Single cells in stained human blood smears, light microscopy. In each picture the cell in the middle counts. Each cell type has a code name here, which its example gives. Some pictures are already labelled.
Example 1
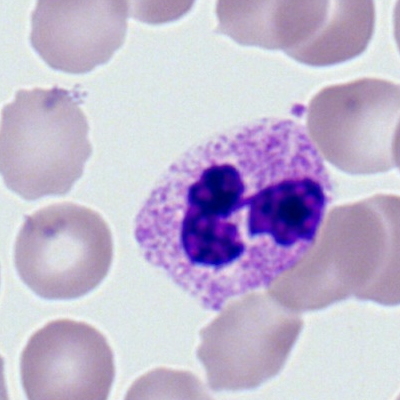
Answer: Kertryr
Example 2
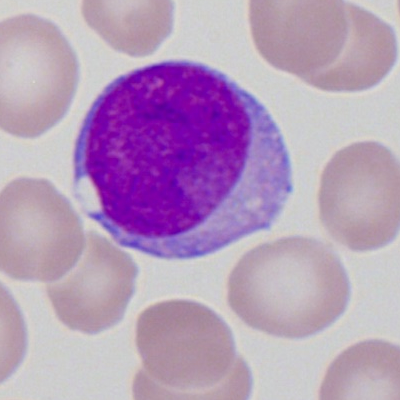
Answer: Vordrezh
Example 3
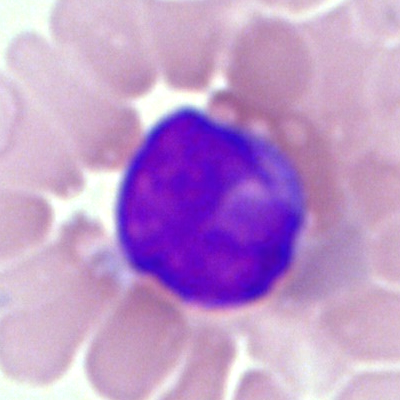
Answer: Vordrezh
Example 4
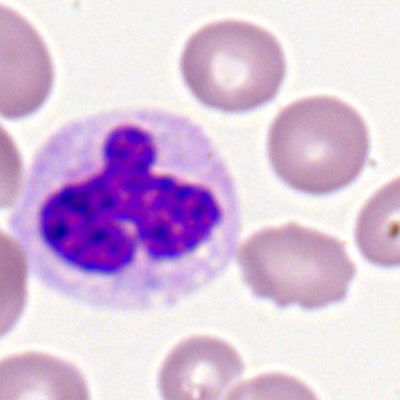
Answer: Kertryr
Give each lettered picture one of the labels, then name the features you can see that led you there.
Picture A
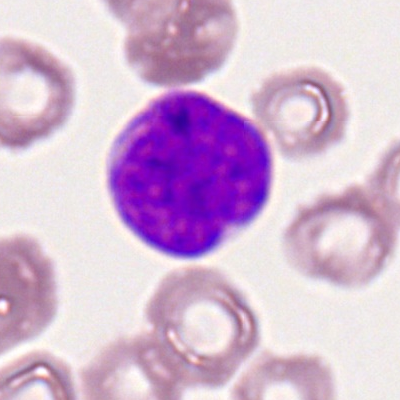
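Vordrezh. Reason: The nucleus fills almost the whole cell, leaving at most a very thin rim of cytoplasm.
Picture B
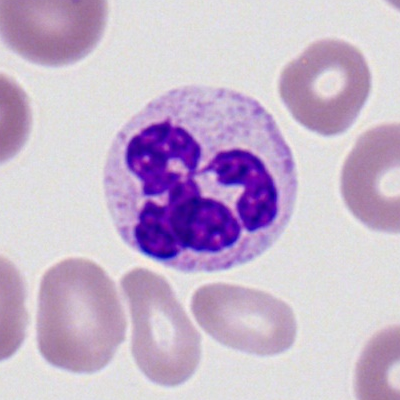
Kertryr. Reason: The cytoplasm is plentiful and pale pinkish-lilac.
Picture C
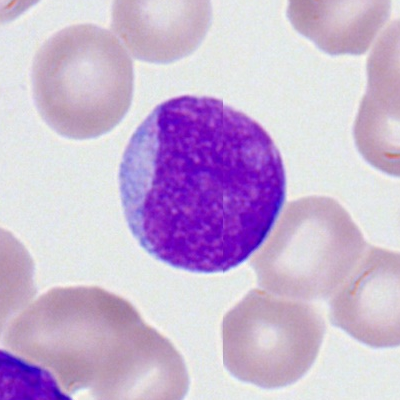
Vordrezh. Reason: The nucleus is a single unlobed mass.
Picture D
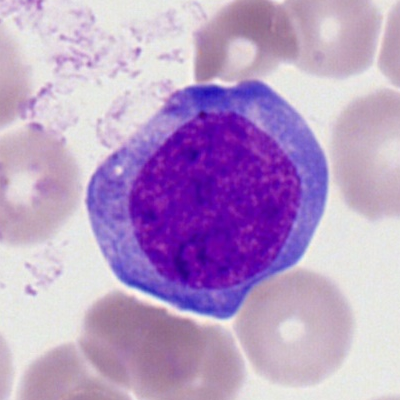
Vordrezh. Reason: A moderate rim of deep blue cytoplasm surrounds the nucleus.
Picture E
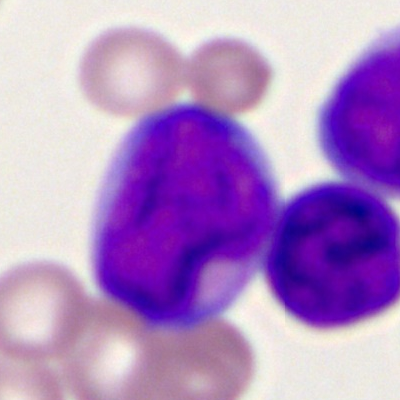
Vordrezh. Reason: The nucleus fills most of the cell.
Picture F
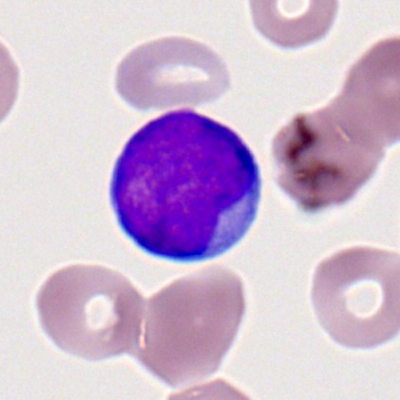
Vordrezh. Reason: The cytoplasm is scant, seen mainly as a thin crescent at the lower right.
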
